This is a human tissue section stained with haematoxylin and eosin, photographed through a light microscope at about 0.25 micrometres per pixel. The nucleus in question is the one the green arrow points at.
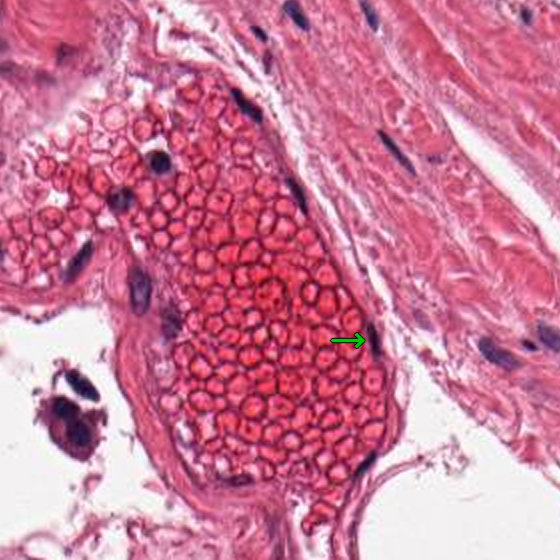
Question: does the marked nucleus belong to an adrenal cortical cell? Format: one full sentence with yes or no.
No, the marked nucleus lies within a supporting cell, not within an adrenal cortical cell.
